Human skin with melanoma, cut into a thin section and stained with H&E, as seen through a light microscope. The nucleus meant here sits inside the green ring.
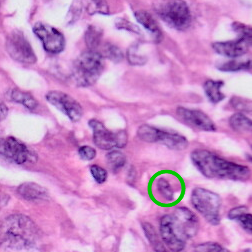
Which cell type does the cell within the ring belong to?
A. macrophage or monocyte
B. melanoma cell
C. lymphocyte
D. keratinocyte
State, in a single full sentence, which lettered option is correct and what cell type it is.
The proper choice here is A: the cell within the ring is a macrophage or monocyte.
